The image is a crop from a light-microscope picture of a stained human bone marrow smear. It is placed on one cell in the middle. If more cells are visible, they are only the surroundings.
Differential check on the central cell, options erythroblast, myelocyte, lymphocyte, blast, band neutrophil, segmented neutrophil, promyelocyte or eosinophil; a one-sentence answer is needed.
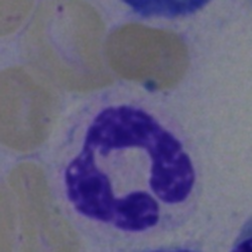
The central cell in this smear crop is a segmented neutrophil.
